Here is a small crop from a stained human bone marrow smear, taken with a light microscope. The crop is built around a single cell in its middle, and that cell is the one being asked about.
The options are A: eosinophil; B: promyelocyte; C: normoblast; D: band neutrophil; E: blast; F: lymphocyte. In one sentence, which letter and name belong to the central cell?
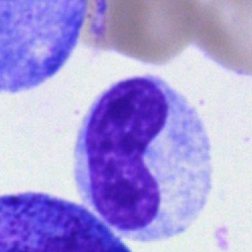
The central cell is a band neutrophil, which makes option D the right answer.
